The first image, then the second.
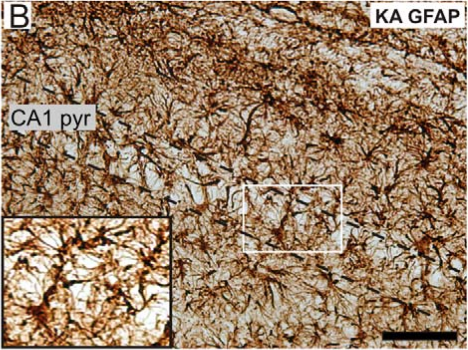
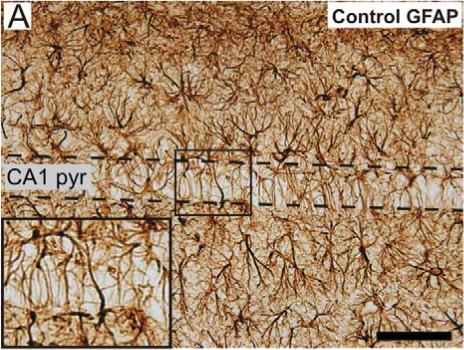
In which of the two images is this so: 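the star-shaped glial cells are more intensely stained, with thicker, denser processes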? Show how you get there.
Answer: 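First image: dense, dark brown network of thick, tangled processes filling the field. Second image: separate star-shaped cells with slender processes on a pale background. The answer: the first image.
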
